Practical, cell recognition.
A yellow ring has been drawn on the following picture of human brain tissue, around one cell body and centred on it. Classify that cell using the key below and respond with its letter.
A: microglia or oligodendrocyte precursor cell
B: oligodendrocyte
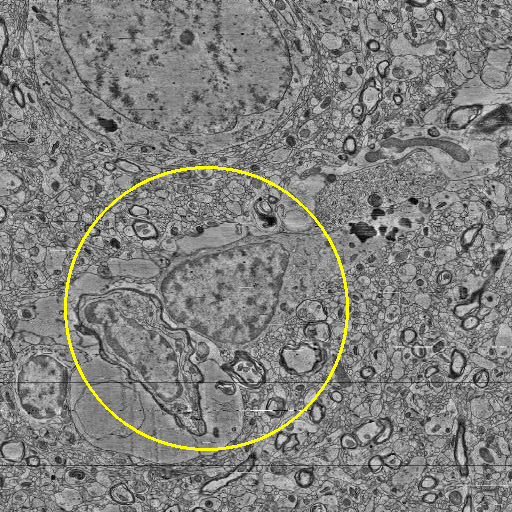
B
